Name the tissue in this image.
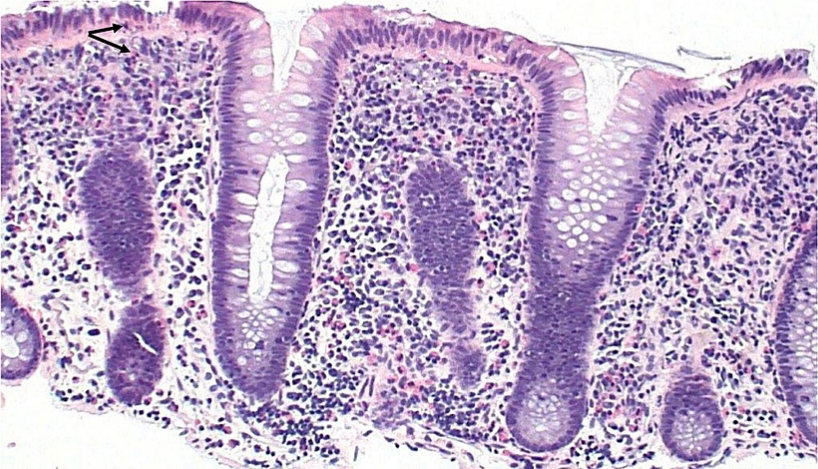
Colonic mucosa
